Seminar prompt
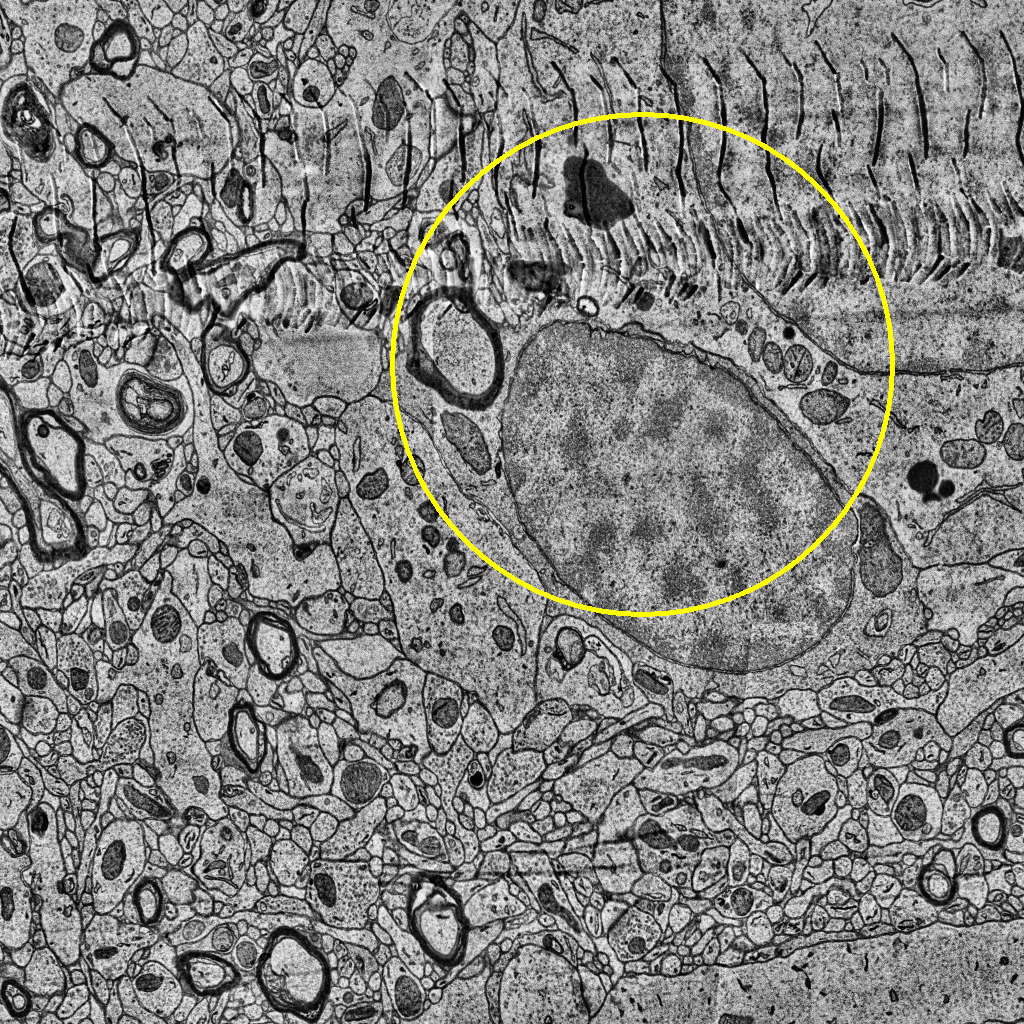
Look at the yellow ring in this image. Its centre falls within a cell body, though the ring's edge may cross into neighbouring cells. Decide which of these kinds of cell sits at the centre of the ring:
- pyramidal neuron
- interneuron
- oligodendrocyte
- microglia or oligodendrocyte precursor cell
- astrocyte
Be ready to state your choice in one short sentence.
The kind of cell at the ring's centre is an oligodendrocyte.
